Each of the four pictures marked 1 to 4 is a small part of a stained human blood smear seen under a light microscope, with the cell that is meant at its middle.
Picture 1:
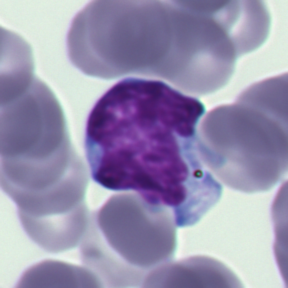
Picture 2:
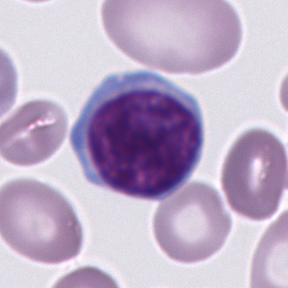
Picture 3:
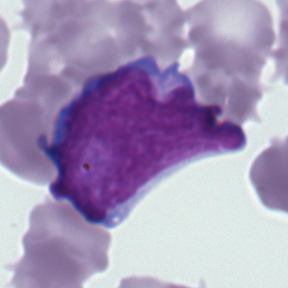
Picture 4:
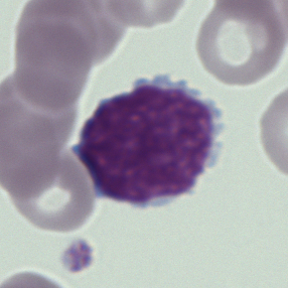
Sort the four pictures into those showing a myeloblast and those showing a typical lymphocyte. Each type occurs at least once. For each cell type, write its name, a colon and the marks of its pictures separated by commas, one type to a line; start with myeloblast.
myeloblast: 3
typical lymphocyte: 1, 2, 4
